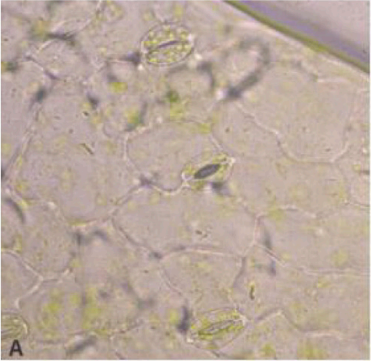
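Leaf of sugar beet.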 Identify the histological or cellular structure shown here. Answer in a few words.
stomata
